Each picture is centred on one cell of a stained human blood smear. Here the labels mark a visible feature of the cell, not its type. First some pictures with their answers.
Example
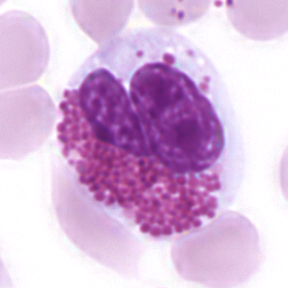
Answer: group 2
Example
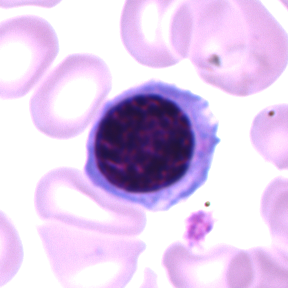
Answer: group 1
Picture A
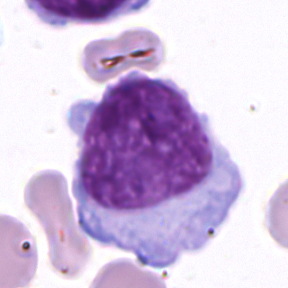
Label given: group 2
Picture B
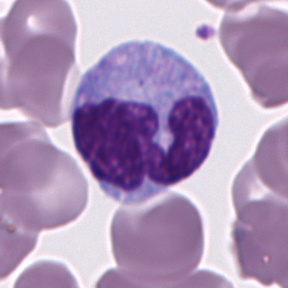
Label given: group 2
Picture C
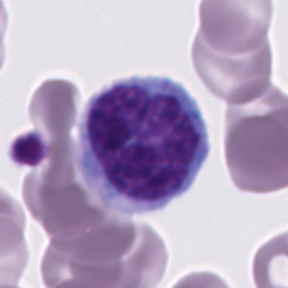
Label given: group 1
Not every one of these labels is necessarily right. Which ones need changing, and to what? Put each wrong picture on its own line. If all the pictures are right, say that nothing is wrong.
A: change group 2 to group 1
C: change group 1 to group 2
